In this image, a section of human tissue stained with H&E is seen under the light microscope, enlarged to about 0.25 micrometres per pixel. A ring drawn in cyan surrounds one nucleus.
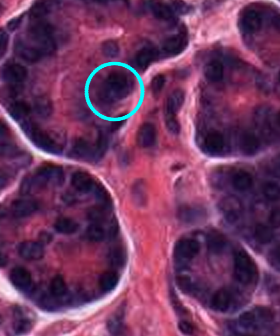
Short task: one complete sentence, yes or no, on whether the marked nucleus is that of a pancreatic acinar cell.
Yes, it is the nucleus of a pancreatic acinar cell that has been marked.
